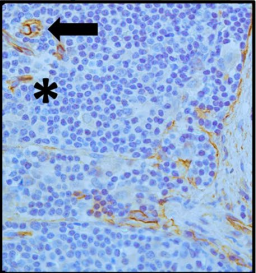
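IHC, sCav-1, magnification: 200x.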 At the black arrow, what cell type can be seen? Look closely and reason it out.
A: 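The arrow points to a small round profile with a central lumen. The lumen is lined by a thin brown-stained rim.
Hence: endothelial cells.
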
